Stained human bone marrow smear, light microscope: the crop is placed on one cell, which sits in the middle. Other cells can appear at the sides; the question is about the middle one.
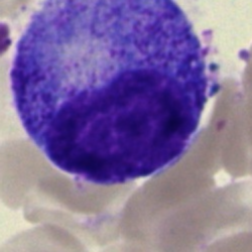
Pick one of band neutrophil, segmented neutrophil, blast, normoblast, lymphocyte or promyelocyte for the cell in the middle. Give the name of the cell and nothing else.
promyelocyte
